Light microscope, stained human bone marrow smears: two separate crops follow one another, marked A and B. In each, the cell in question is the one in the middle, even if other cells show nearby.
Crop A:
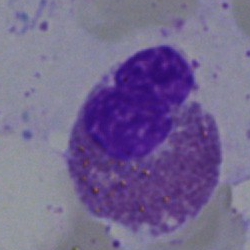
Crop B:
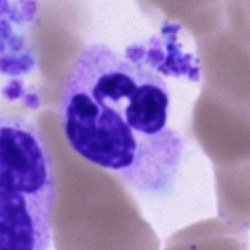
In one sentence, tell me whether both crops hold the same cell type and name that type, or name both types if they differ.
No, crop A is home to an eosinophil, and crop B to a segmented neutrophil.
